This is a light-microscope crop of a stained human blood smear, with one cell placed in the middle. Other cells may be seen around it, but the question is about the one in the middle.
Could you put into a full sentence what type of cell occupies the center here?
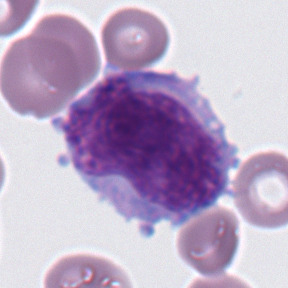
In this crop, the cell at the very middle is an atypical promyelocyte.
